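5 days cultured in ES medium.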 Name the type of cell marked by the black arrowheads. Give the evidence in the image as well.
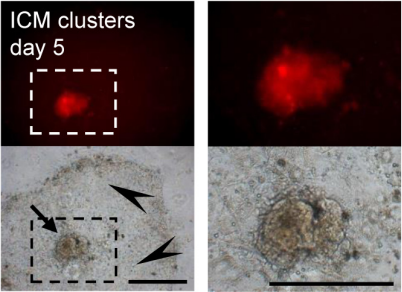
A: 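The arrowheads point to a flat, thin sheet of cells spread over the dish. This spread sheet surrounds a compact, rounded cell cluster. The spread sheet shows no red fluorescence in the upper image.
Trophoblast cells.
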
